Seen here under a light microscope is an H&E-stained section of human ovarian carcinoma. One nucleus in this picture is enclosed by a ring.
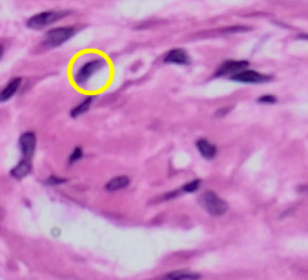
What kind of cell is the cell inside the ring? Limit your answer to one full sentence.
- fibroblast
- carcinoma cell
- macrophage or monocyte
To be brief about it, the cell inside the ring is a fibroblast.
